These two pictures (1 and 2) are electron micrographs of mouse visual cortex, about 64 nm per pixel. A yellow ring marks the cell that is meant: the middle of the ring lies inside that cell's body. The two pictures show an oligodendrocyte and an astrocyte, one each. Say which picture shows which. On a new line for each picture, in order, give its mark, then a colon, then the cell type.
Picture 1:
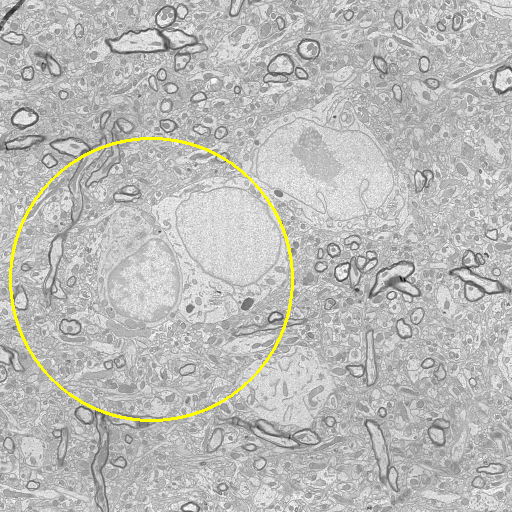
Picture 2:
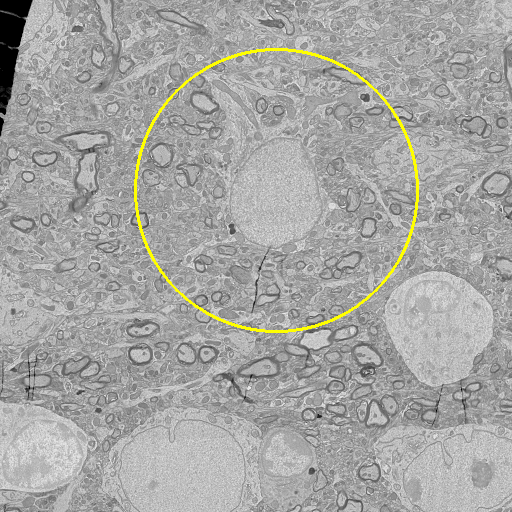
1: oligodendrocyte
2: astrocyte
